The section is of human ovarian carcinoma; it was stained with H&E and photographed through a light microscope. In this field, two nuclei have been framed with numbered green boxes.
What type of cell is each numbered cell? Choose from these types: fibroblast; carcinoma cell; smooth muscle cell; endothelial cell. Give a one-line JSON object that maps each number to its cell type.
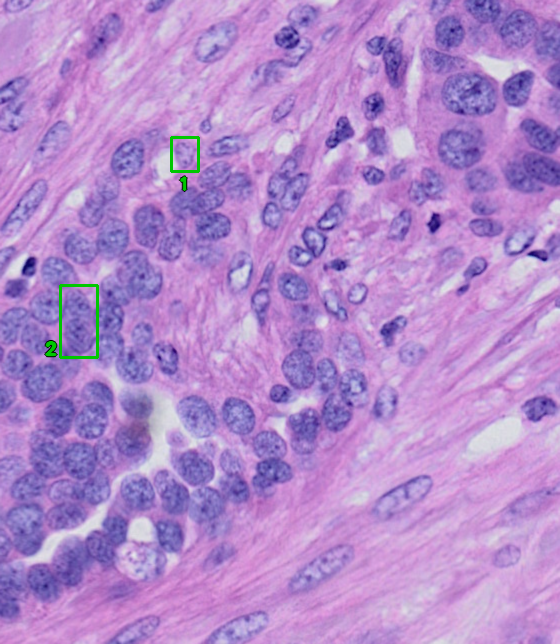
{"1": "fibroblast", "2": "carcinoma cell"}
